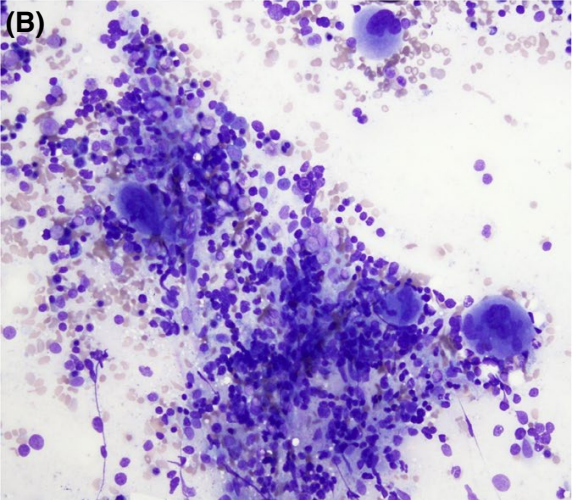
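Bone marrow aspirate with a dense cellular particle of small dark-staining marrow cells, among which several very large megakaryocytes stand out. The megakaryocytes have abundant pale blue cytoplasm and large lobulated nuclei, and red cells are spread around the particle.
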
